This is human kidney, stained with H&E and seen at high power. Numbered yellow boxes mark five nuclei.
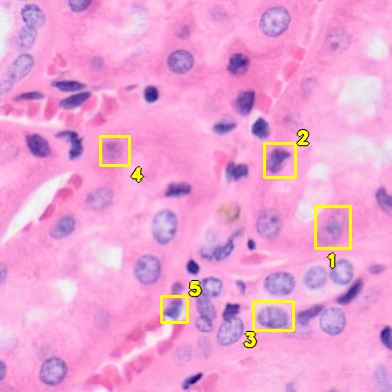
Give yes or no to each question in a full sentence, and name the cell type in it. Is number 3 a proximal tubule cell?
No, cell number 3 is identified as a collecting duct cell, not as a proximal tubule cell.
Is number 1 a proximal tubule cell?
Yes, correct, the cell with the number 1 is a proximal tubule cell.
